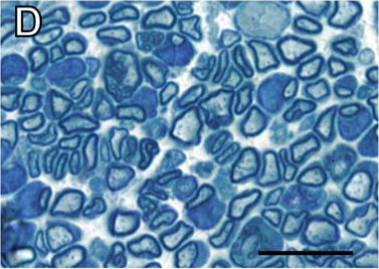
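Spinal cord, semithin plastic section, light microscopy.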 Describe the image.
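This shows myelinated axons in cross-section at high power. The profiles are round to irregularly polygonal, each ringed by a sharp dark blue band of myelin around a pale blue axon interior. Sizes vary from small to fairly large, and some rings are thick while others are thin or slightly folded. The fibres lie close together with only narrow clear spaces between them, and a few larger, more evenly stained bluish rounded areas sit among them, consistent with cytoplasm and nuclei of myelinating cells adjoining the fibres.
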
